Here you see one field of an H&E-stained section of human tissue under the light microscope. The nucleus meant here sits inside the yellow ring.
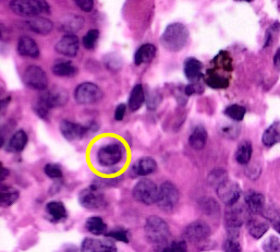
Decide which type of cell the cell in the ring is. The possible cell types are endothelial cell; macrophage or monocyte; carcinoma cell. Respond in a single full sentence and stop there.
What the cell in the ring represents is a macrophage or monocyte.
